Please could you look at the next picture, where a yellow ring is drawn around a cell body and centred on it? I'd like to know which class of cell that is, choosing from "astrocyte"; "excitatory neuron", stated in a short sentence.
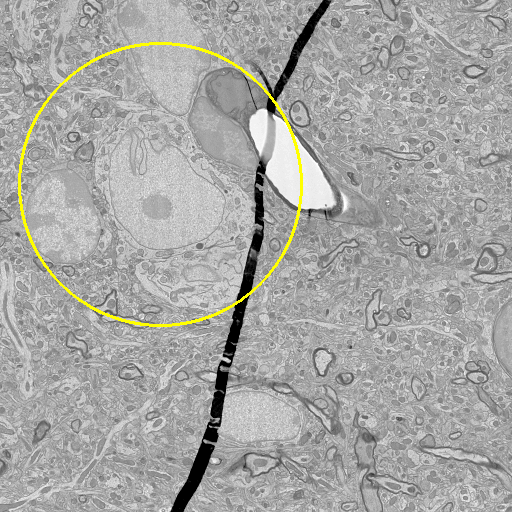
The ring's centre lies on an excitatory neuron.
